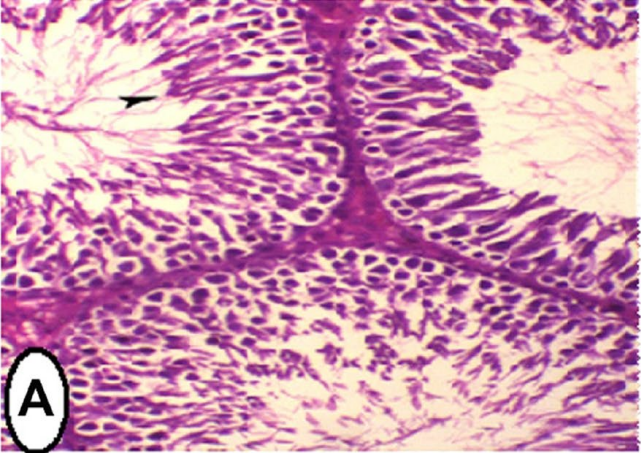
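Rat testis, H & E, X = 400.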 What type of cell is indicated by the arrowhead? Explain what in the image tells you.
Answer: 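Free sperm. The arrowhead lies in the tubule lumen. Fine pale pink threads fill the lumen there. Elongated dark heads line the lumen edge.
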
